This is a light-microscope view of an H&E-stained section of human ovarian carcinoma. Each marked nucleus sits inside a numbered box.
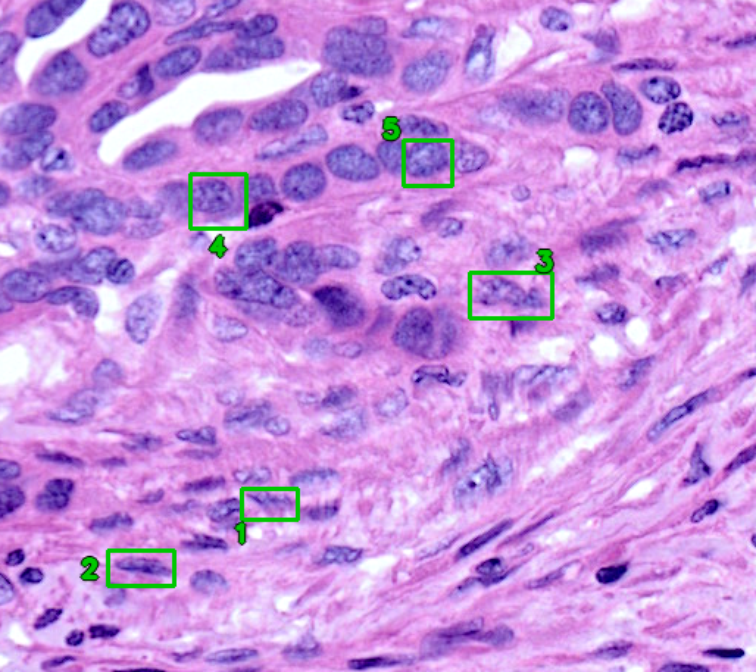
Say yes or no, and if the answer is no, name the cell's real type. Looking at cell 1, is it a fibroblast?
Yes.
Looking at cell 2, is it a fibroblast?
Yes.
